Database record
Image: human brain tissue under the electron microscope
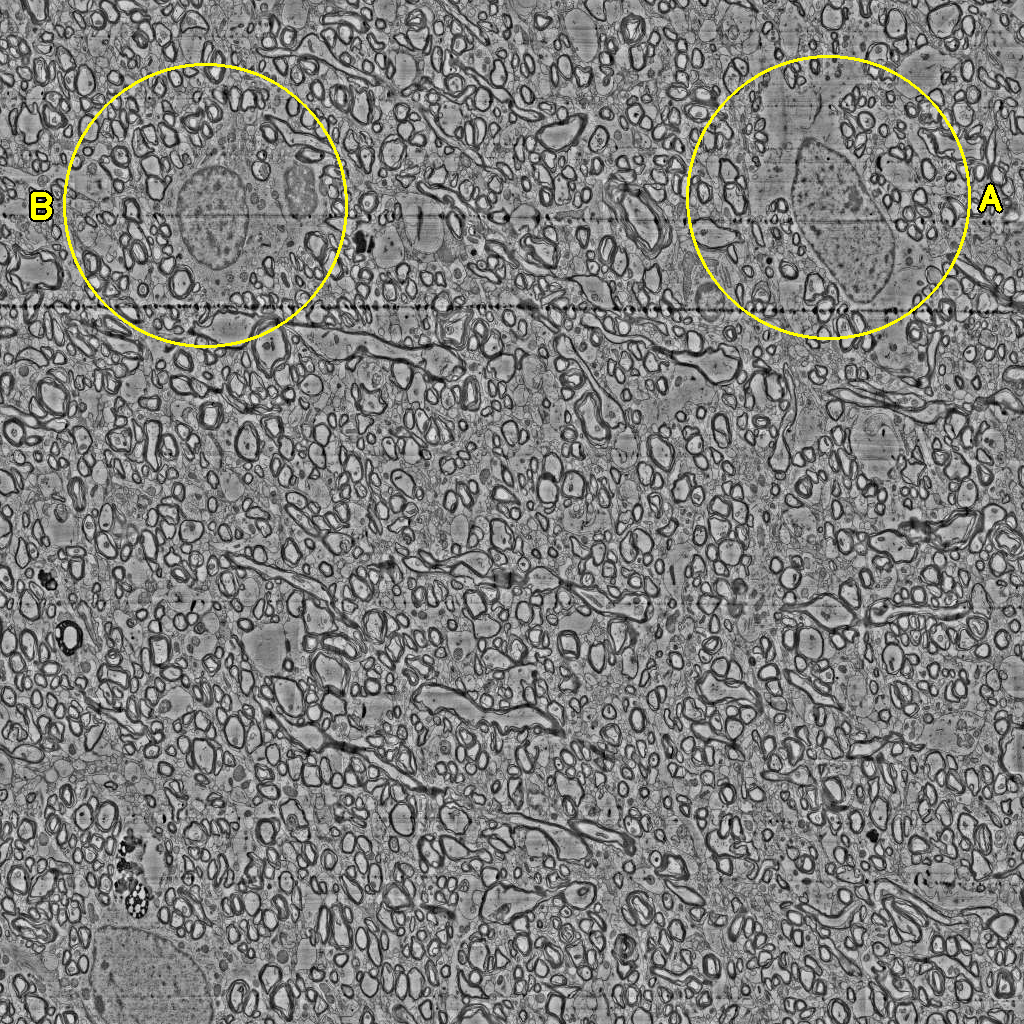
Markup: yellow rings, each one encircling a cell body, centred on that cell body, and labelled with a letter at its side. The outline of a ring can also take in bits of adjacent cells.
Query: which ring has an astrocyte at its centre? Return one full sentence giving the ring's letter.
In this image, that kind of cell lies at the centre of the ring labelled A.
